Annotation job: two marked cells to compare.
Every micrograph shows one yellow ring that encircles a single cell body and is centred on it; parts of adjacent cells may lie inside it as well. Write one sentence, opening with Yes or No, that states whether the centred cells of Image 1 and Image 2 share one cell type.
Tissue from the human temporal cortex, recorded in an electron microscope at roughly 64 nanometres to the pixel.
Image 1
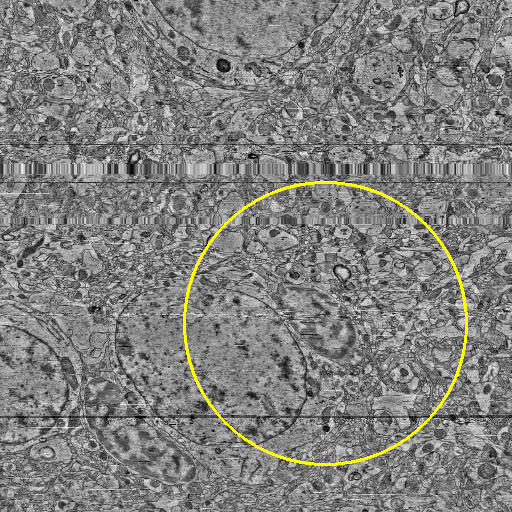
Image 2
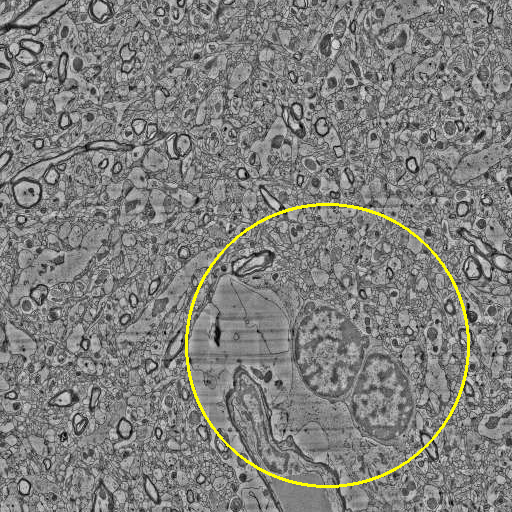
Yes, the cell centred in Image 1 shares its type with the cell centred in Image 2.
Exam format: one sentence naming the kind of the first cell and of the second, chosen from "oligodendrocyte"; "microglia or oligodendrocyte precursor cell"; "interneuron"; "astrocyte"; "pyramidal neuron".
Both rings mark an oligodendrocyte, one in each picture.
